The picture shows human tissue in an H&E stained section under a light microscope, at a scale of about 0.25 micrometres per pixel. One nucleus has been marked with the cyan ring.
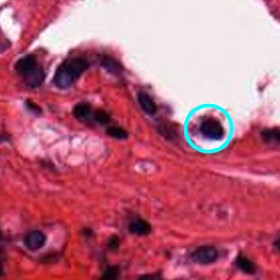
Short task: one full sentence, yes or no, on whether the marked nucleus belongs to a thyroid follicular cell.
Yes, it is within a thyroid follicular cell that the marked nucleus lies.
